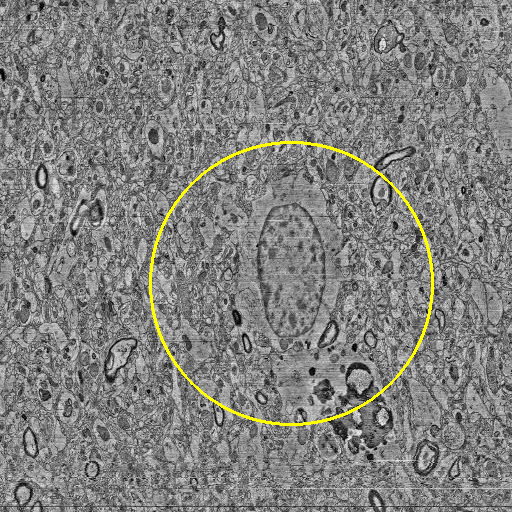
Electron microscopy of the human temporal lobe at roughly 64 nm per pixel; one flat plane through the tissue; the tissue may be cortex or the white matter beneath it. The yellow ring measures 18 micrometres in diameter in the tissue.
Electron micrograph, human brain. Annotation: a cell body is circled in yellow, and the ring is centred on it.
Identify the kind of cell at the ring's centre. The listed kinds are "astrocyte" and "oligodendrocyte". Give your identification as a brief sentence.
The circled cell body is that of an astrocyte.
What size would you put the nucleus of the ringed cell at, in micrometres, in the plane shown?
The ringed cell's nucleus is roughly 9 by 4 micrometres and clearly longer than it is wide in this plane.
